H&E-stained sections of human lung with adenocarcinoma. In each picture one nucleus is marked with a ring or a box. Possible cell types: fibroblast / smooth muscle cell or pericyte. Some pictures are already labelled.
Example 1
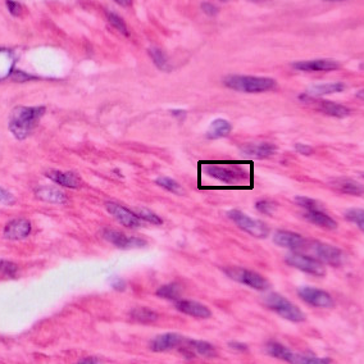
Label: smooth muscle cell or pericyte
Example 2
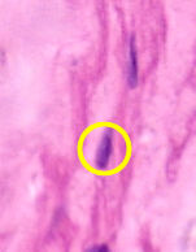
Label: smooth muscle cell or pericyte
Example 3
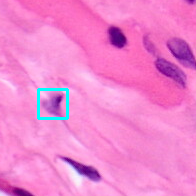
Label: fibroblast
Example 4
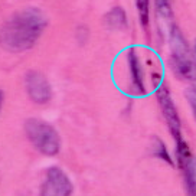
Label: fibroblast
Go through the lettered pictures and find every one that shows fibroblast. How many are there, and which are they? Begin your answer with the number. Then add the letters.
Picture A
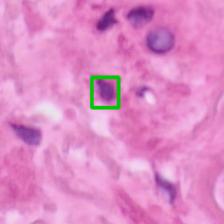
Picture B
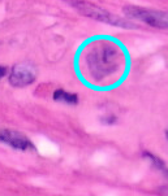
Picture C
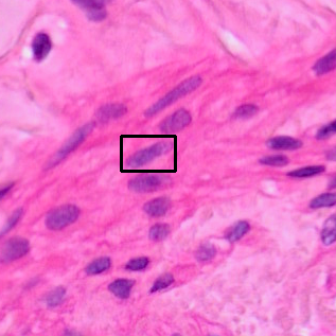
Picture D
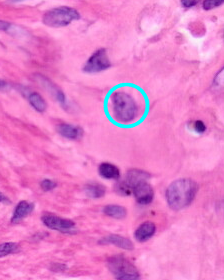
2, namely B, D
